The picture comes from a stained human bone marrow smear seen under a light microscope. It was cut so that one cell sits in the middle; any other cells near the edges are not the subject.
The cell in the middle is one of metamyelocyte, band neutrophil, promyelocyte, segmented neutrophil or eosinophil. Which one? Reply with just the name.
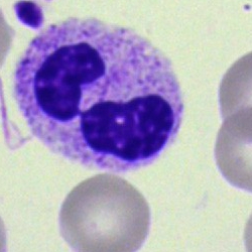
segmented neutrophil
